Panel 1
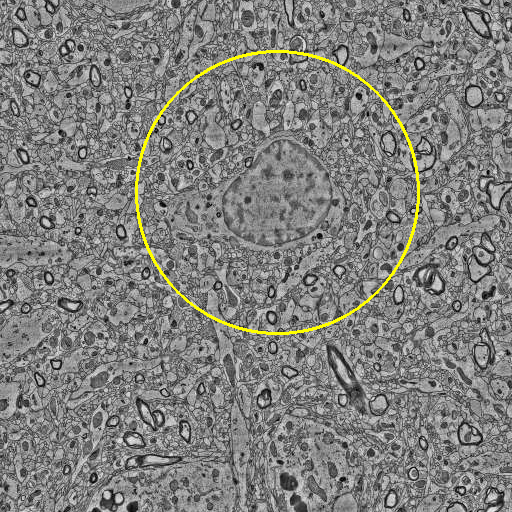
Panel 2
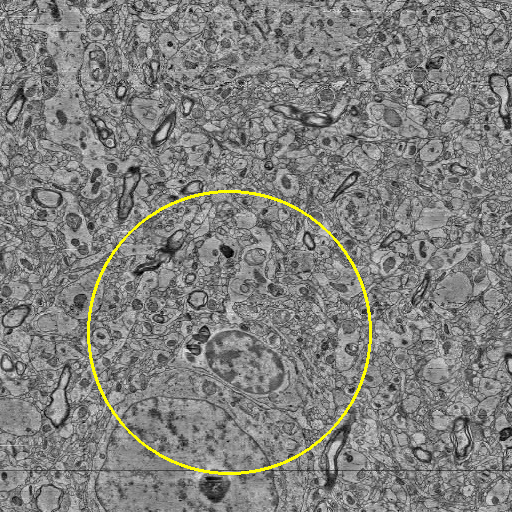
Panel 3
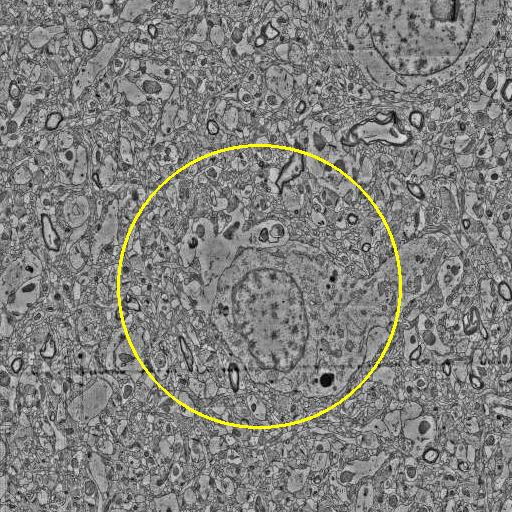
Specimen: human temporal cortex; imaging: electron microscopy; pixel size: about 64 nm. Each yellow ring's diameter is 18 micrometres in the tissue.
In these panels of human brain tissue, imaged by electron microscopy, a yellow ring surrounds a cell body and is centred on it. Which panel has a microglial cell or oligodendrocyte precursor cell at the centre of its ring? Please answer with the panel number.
2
